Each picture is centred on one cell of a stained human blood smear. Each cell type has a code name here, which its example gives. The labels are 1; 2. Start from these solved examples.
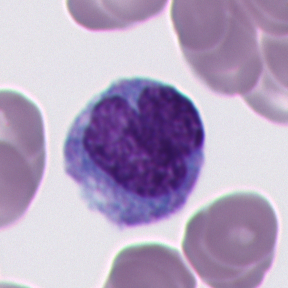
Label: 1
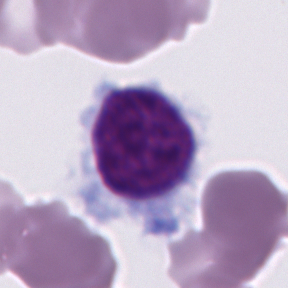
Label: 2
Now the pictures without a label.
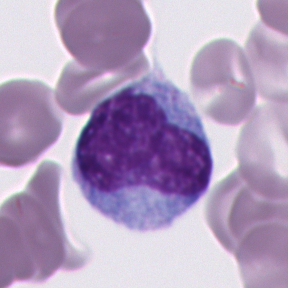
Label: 1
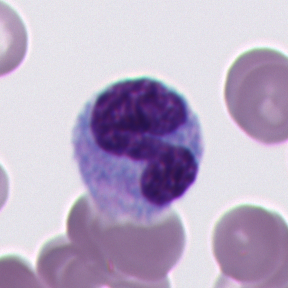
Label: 1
